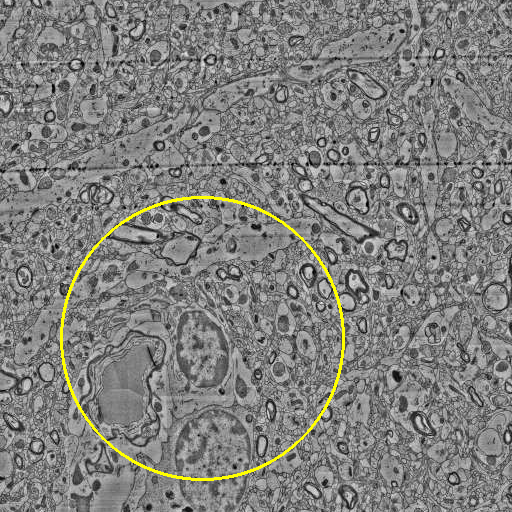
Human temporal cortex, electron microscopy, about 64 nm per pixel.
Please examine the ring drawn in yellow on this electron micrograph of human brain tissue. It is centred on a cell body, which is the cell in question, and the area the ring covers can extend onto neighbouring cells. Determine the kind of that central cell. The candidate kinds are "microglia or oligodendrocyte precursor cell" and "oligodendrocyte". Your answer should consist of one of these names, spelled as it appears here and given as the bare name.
microglia or oligodendrocyte precursor cell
